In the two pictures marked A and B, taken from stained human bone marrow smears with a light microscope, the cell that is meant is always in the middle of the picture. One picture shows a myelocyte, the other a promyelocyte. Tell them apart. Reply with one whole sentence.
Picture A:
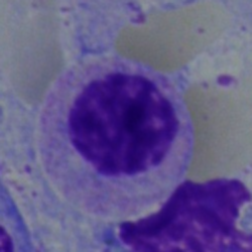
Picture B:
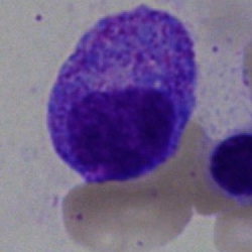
It is picture A that shows a myelocyte, and picture B that shows a promyelocyte.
